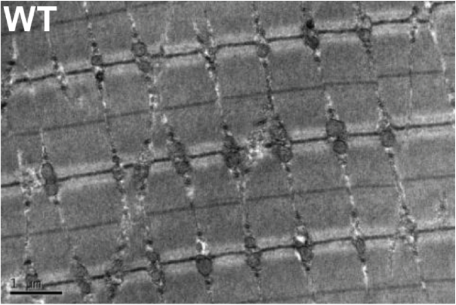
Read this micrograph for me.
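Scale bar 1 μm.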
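Longitudinal section of skeletal muscle showing parallel myofibrils with a regular sarcomere pattern. Dark Z-lines run across the fibrils at even intervals, with lighter bands on either side and darker bands between them. Small oval mitochondria sit between the myofibrils at the level of the Z-lines, often in pairs. The striation pattern is orderly and the mitochondria are of fairly uniform size along the field.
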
